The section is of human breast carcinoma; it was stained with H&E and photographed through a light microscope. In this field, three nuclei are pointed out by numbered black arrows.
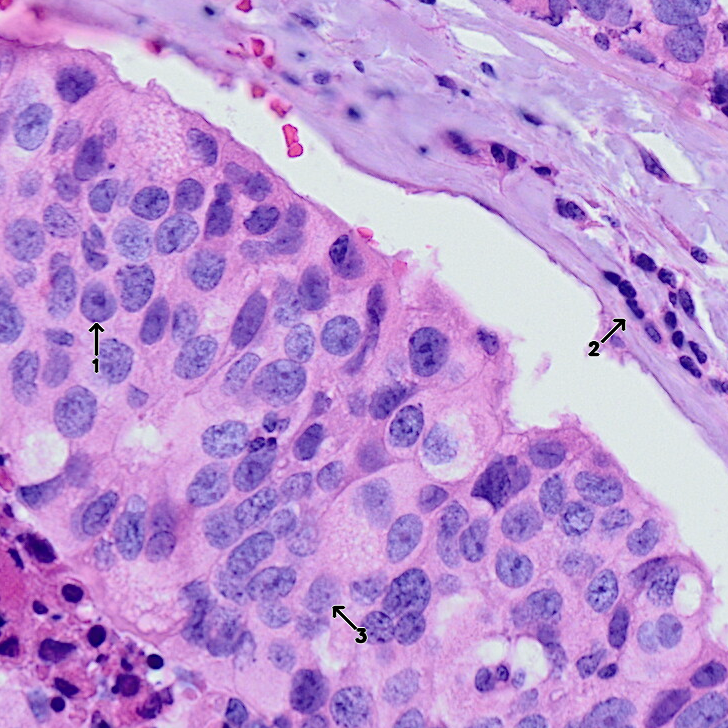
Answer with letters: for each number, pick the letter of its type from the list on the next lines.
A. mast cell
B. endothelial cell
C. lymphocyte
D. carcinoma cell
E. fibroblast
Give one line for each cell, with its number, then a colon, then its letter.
1: D
2: C
3: D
